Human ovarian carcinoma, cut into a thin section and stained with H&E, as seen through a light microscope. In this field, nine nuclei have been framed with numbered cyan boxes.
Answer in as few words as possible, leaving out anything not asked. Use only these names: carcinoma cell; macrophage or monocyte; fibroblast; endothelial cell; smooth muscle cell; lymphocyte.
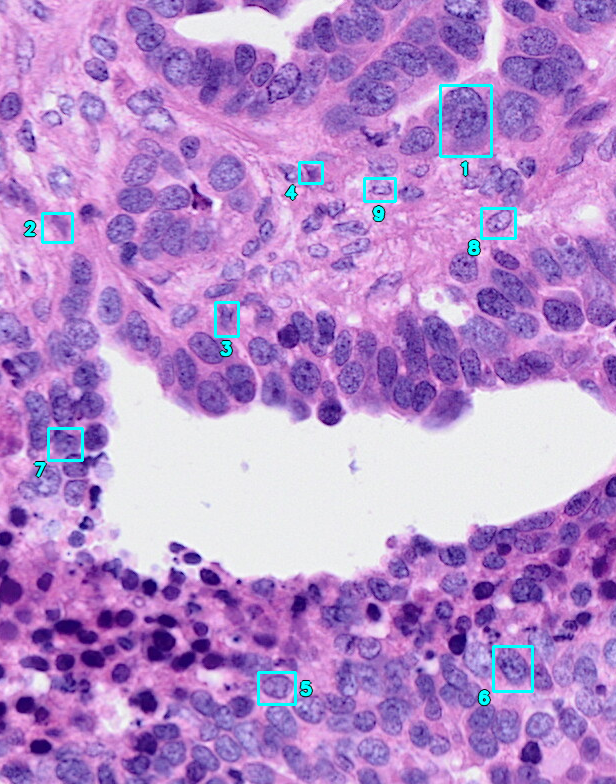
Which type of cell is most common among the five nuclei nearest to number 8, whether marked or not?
fibroblast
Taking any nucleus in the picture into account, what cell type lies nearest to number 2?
macrophage or monocyte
